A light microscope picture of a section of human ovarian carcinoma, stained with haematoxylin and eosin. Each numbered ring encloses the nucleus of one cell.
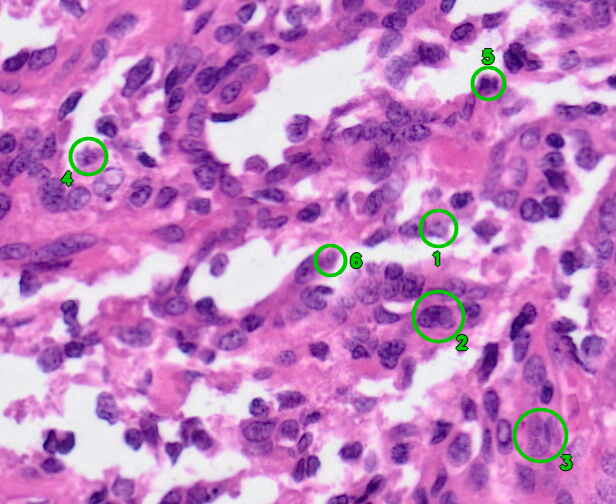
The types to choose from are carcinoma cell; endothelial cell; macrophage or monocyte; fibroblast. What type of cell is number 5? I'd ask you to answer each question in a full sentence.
Within this field of view, the cell labelled 5 is a carcinoma cell.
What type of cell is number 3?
Cell 3, as marked in the section, is a carcinoma cell.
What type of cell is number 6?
The numbered cell 6 is identified here as a carcinoma cell.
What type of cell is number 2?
Regarding cell 2, this one is a carcinoma cell.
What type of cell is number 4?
Cell 4, as marked in the section, is a macrophage or monocyte.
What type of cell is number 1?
Among the marked cells, number 1 is a macrophage or monocyte.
